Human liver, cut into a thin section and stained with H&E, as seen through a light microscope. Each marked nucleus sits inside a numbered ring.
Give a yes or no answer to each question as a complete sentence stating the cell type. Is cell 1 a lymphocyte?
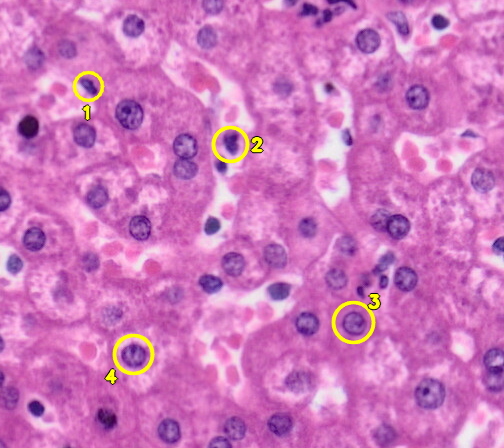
No, the cell tagged 1 is a fibroblast or stellate cell, and not a lymphocyte.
